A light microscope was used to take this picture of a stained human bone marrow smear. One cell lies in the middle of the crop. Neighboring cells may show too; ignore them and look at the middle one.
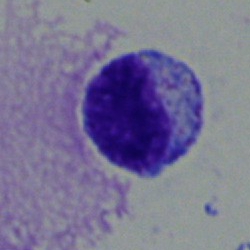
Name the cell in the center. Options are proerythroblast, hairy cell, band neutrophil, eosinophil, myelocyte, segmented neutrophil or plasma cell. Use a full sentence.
This crop is built around a myelocyte at its centre.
